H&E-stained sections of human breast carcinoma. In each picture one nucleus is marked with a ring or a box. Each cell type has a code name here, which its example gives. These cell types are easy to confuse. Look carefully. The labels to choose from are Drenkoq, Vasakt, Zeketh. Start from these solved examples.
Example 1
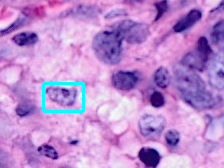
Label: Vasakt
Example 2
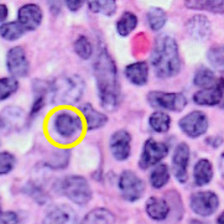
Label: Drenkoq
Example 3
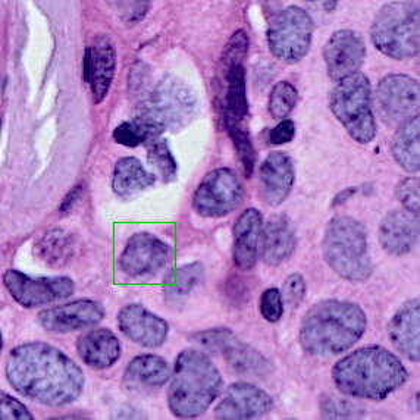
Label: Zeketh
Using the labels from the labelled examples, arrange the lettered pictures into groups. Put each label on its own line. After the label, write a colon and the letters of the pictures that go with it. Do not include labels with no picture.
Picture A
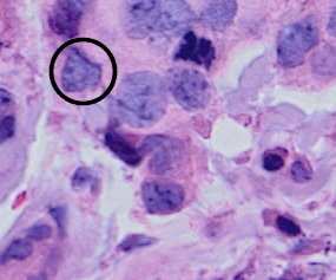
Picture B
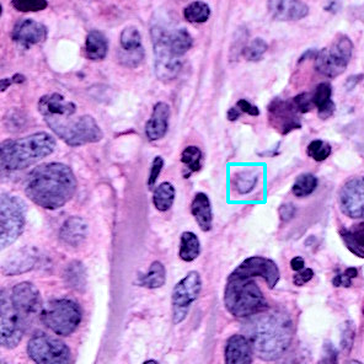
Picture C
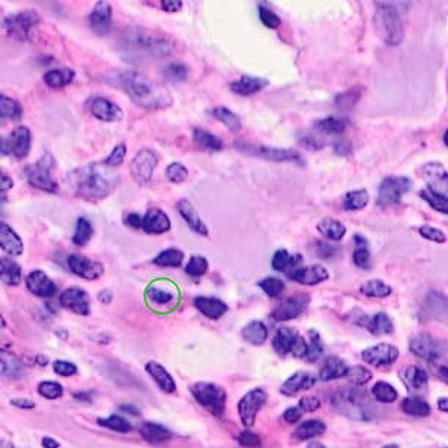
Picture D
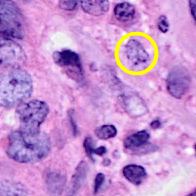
Drenkoq: C
Vasakt: B, D
Zeketh: A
